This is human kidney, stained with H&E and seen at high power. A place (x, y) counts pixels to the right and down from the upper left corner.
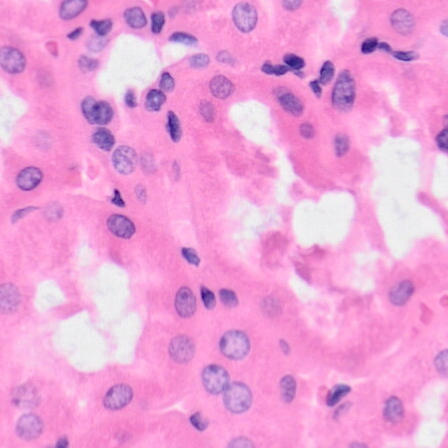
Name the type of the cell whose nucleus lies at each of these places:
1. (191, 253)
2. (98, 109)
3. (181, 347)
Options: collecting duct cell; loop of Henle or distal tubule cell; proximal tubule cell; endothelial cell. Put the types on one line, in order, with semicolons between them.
endothelial cell; collecting duct cell; proximal tubule cell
